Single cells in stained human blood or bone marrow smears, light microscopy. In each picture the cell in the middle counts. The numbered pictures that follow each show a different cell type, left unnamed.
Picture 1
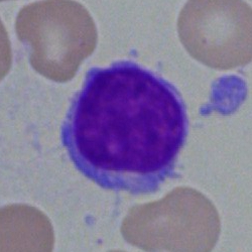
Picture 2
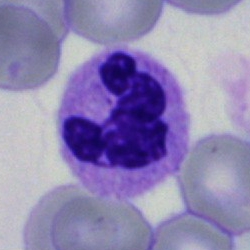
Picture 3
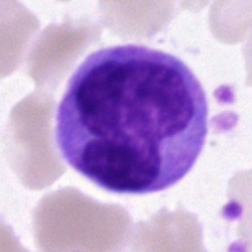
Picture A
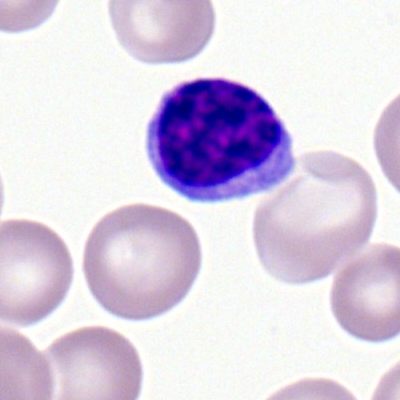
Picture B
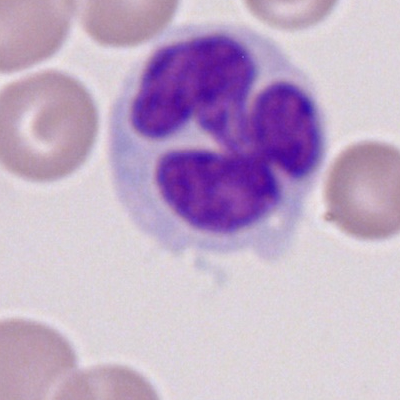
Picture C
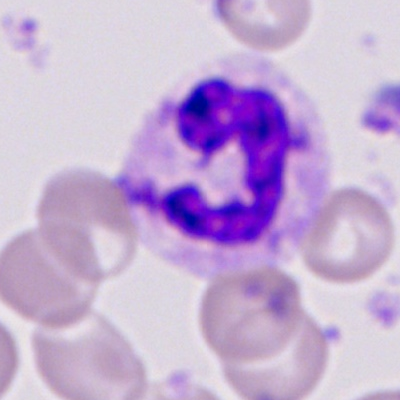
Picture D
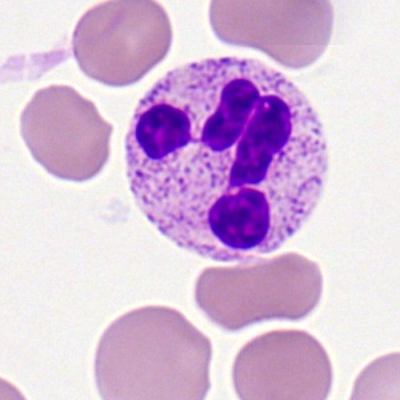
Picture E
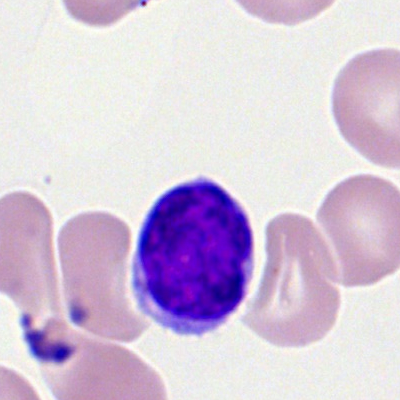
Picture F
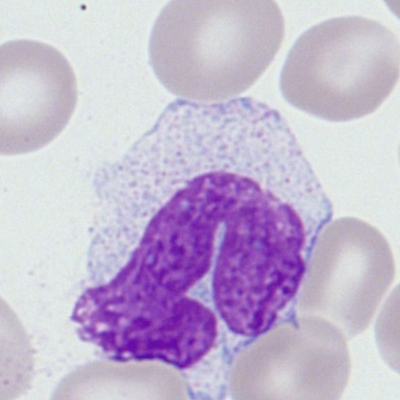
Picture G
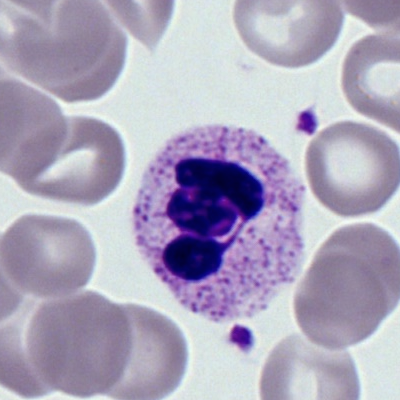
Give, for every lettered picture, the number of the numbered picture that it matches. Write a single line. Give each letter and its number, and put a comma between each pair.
A 1, B 3, C 2, D 2, E 1, F 3, G 2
